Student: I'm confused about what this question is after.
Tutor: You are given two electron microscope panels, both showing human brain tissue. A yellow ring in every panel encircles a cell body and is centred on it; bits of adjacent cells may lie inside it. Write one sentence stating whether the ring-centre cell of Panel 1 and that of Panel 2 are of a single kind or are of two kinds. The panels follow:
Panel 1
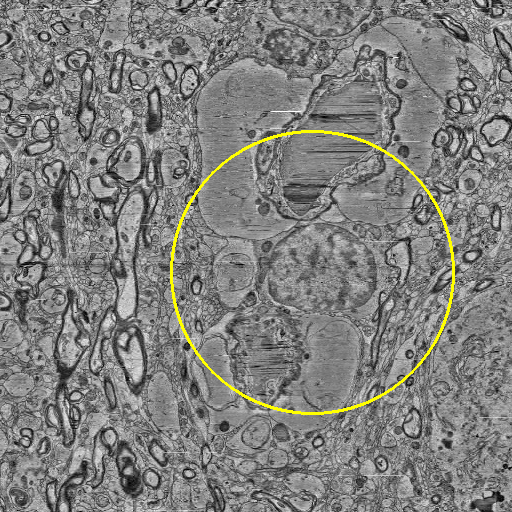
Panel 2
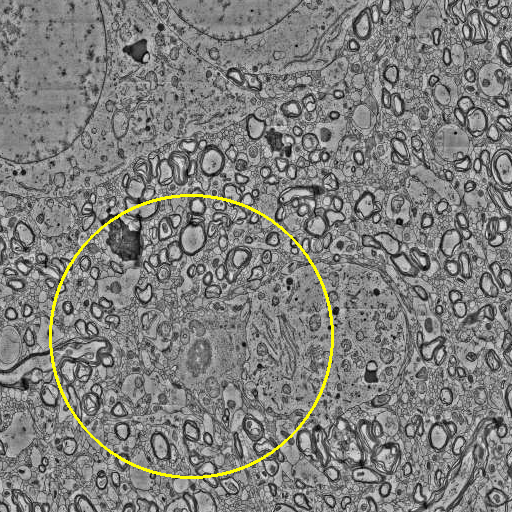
Here, the Panel 1 ring-centre cell and the Panel 2 ring-centre cell are of a single kind.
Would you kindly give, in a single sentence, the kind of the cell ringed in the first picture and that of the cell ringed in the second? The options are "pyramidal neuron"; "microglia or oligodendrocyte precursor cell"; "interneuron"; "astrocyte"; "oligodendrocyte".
Both cells are the same kind, each one being an oligodendrocyte.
